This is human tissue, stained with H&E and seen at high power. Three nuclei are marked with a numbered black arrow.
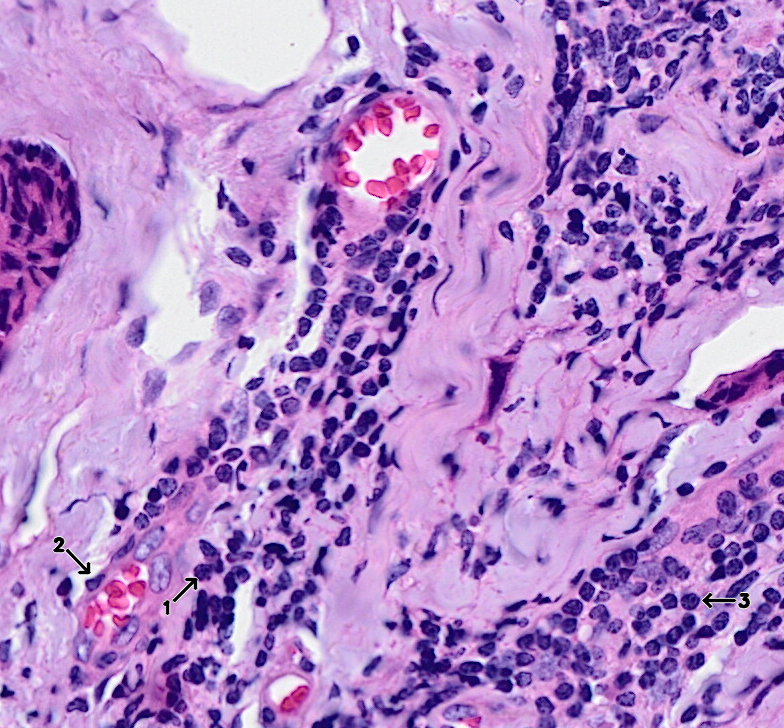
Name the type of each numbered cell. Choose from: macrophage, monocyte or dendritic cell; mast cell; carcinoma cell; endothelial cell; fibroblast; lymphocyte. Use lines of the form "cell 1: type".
cell 1: lymphocyte
cell 2: endothelial cell
cell 3: lymphocyte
